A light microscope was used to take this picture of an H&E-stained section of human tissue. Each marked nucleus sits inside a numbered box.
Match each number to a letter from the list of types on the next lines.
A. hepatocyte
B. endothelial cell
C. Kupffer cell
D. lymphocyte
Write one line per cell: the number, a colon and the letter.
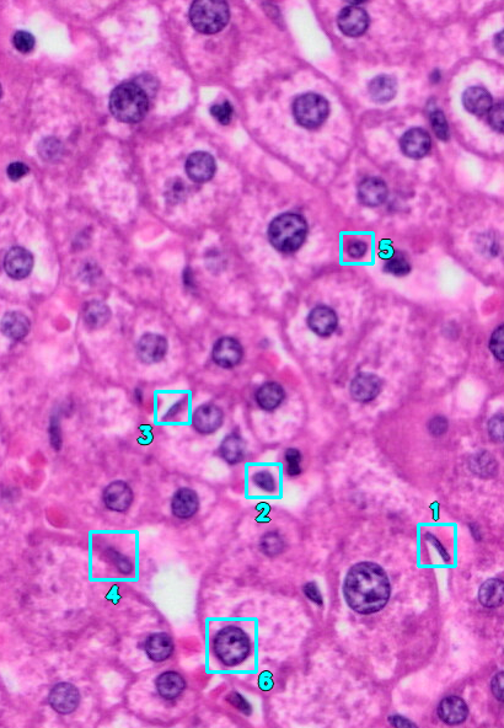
1: B
2: D
3: B
4: C
5: D
6: A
